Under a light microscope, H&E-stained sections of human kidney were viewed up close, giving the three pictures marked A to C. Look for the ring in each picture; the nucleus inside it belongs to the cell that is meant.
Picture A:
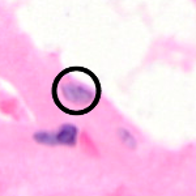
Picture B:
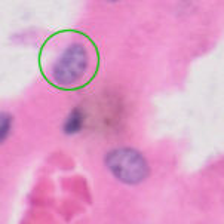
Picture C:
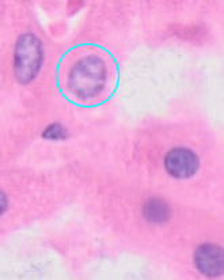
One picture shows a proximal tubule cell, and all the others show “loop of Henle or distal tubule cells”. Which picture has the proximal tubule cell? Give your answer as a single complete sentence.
Picture C is the one that shows the proximal tubule cell.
